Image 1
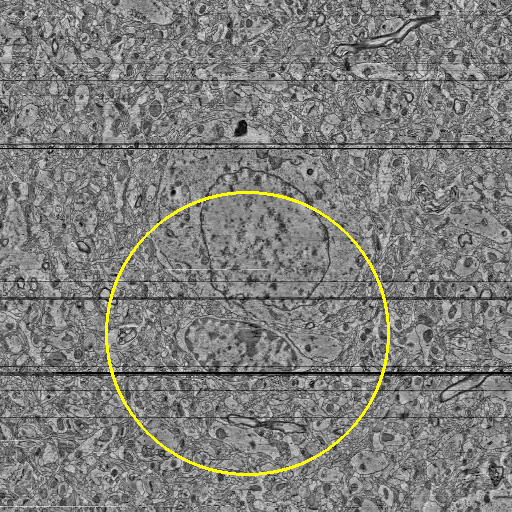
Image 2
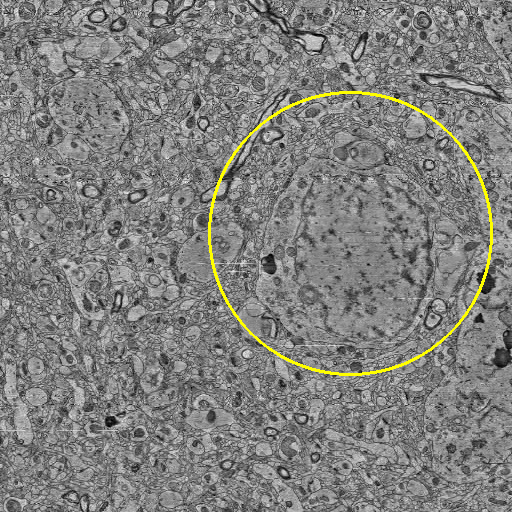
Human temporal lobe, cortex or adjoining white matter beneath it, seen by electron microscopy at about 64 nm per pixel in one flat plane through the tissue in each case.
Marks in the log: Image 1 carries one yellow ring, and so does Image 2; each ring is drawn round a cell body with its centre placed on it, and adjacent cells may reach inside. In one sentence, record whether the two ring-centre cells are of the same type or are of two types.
The two cells at the ring centres, one in each image, are of two types.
